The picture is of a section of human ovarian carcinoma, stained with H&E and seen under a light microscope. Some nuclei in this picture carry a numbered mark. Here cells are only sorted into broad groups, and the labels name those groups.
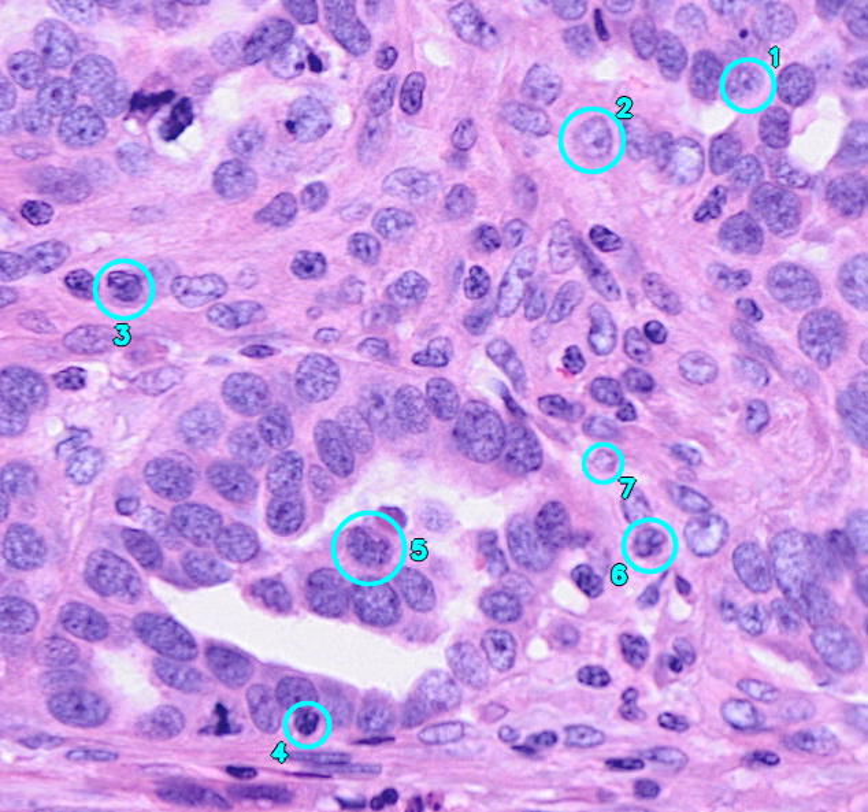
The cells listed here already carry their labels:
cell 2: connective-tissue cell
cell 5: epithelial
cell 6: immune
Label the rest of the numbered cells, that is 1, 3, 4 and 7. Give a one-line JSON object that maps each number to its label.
{"1": "epithelial", "3": "immune", "4": "immune", "7": "connective-tissue cell"}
